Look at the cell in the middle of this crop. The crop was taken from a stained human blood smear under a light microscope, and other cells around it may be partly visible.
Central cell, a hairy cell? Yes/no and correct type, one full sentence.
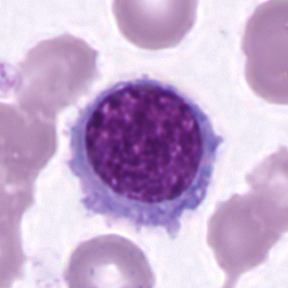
No, a plasma cell, not a hairy cell, is what sits in the centre of the crop.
